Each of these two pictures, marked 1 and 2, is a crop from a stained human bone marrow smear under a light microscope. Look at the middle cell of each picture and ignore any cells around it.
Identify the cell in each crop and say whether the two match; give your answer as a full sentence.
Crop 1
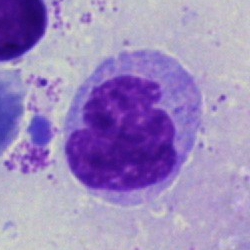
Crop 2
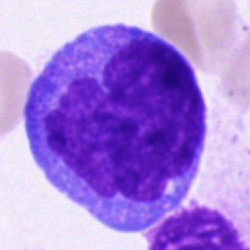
Yes, the reply for both crops is monocytes.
